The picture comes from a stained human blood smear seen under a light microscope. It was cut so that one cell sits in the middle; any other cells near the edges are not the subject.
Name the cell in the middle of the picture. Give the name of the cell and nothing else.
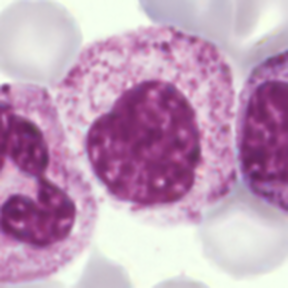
myelocyte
